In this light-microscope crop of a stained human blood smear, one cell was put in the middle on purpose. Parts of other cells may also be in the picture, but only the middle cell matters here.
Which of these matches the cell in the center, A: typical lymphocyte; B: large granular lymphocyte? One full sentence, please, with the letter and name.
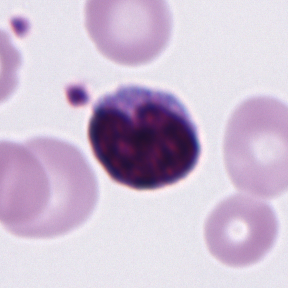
The correct response is option A, naming the cell in the middle as a typical lymphocyte.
